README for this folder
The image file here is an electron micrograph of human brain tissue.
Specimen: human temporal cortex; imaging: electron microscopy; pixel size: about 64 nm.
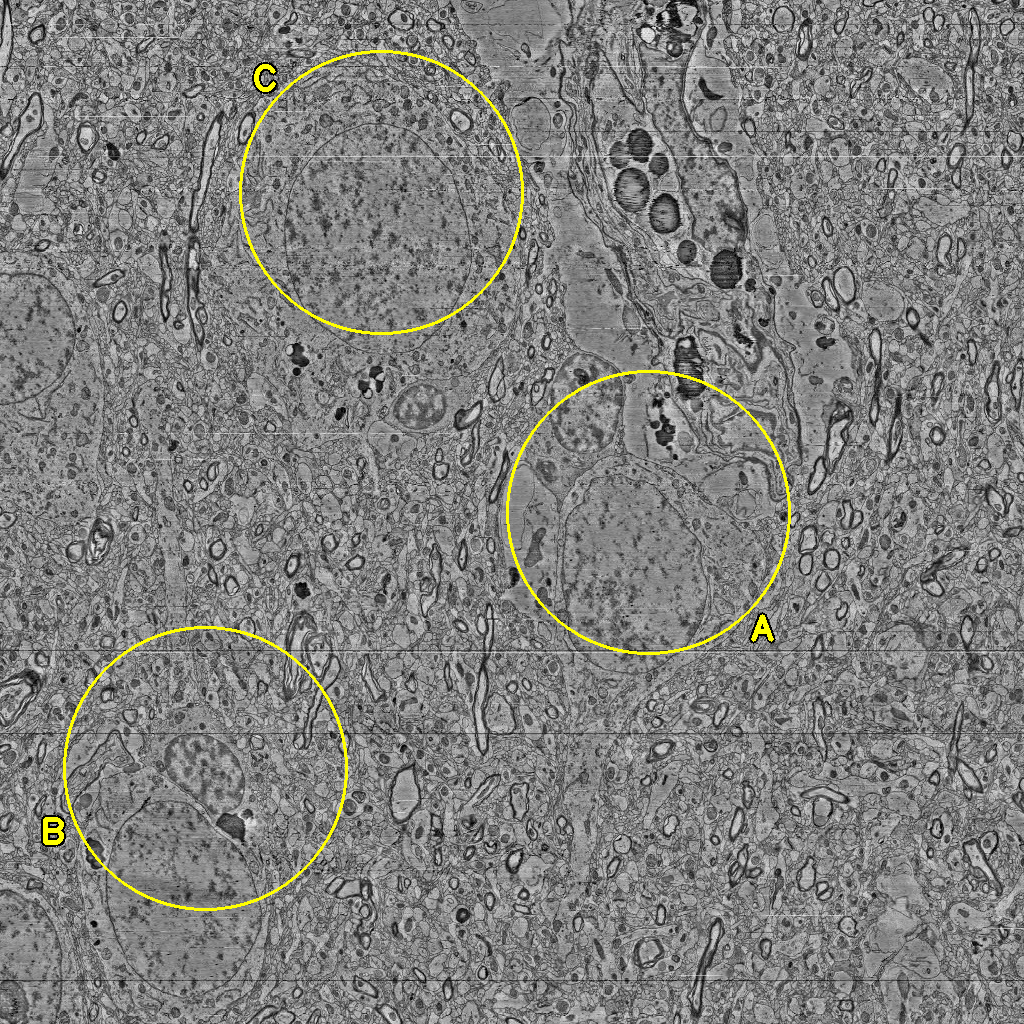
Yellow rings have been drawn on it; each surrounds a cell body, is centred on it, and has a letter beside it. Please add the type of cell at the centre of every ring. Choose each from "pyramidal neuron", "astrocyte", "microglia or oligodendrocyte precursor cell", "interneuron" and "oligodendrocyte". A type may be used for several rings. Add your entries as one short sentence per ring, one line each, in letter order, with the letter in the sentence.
Ring A marks the cell body of a pyramidal neuron.
Ring B marks the cell body of an oligodendrocyte.
Ring C marks the cell body of a pyramidal neuron.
